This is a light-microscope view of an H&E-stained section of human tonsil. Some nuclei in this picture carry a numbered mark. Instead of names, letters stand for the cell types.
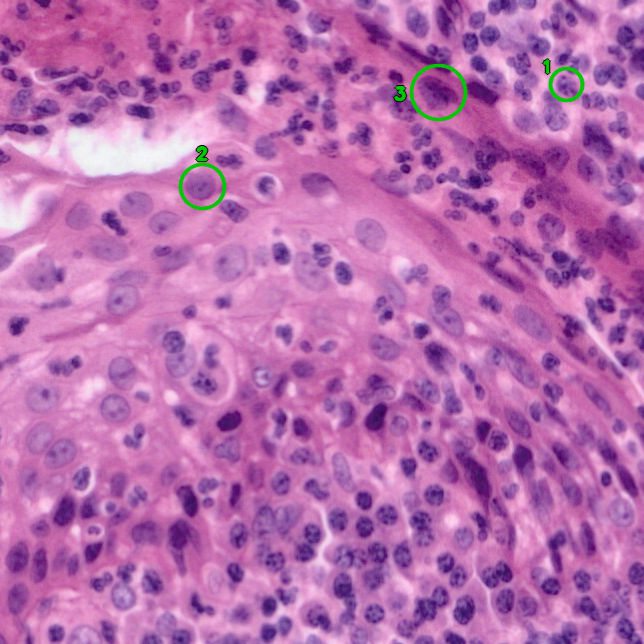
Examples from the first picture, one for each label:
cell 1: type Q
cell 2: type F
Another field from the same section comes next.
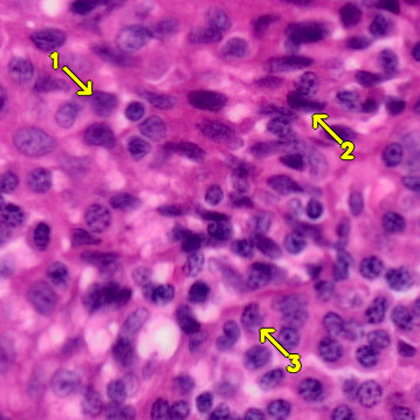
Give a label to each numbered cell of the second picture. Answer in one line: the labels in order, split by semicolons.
type F; type F; type Q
